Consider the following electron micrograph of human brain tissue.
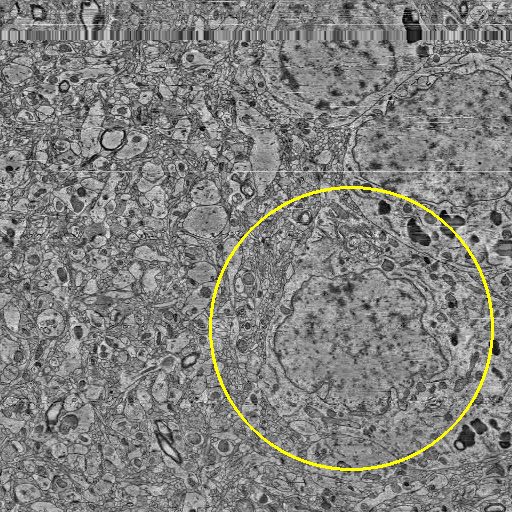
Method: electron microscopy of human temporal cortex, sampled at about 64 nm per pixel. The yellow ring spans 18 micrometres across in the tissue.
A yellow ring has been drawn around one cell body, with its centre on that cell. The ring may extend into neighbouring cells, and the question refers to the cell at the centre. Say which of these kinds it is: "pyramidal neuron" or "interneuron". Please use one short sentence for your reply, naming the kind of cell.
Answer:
The centre of the ring falls on an interneuron.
